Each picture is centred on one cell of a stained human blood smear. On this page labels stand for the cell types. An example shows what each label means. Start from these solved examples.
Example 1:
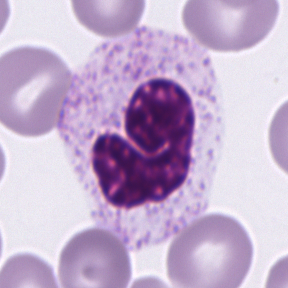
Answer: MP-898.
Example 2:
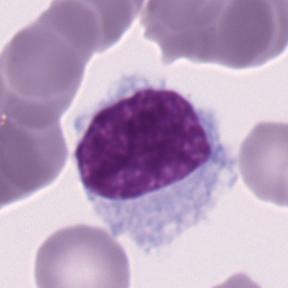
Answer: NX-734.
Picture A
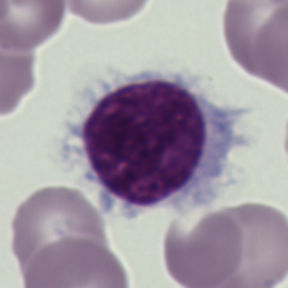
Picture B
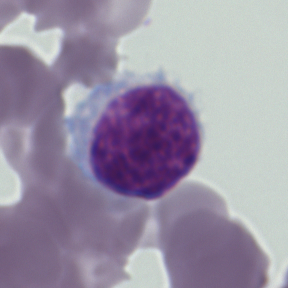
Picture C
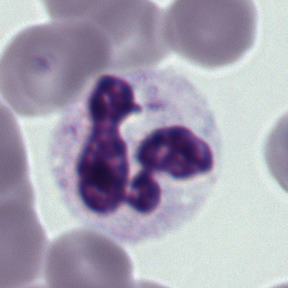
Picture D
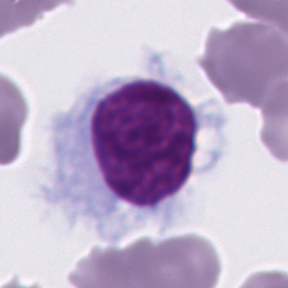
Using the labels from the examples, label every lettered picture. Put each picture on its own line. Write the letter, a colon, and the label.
A: NX-734.
B: NX-734.
C: MP-898.
D: NX-734.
